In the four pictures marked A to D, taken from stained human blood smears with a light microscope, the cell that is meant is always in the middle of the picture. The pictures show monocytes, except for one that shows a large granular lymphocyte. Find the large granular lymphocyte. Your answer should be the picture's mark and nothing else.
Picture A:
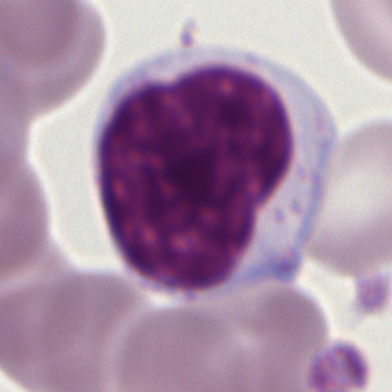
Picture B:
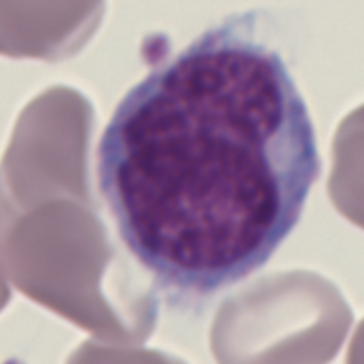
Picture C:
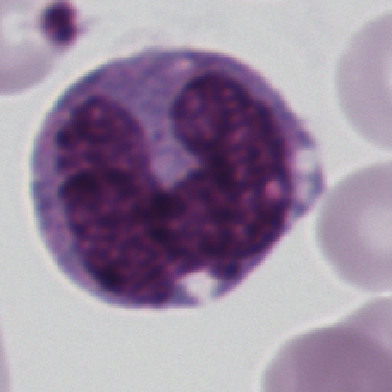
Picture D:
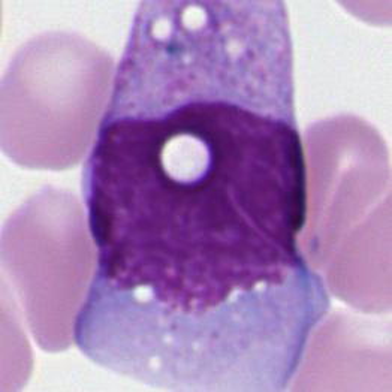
A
